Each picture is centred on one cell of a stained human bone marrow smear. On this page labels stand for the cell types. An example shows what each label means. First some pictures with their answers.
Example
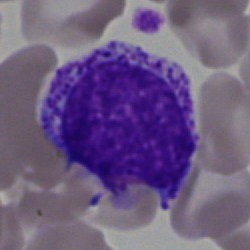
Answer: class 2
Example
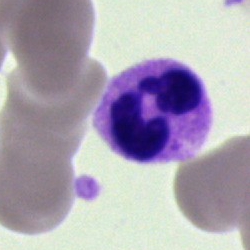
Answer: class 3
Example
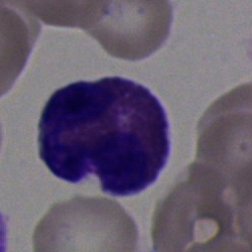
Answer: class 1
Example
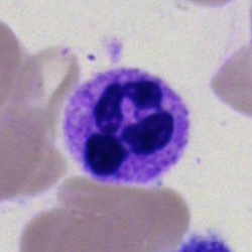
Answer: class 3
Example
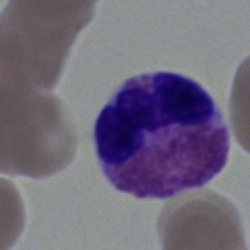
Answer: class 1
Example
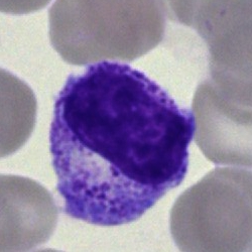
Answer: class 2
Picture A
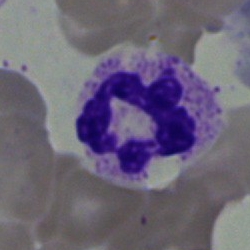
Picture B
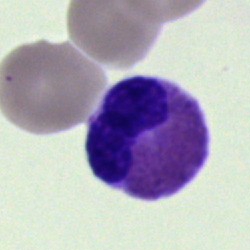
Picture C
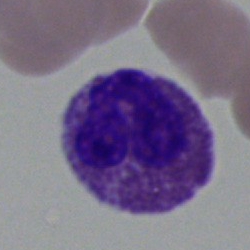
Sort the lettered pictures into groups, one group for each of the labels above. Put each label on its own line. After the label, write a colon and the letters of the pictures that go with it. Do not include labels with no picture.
class 3: A
class 1: B, C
